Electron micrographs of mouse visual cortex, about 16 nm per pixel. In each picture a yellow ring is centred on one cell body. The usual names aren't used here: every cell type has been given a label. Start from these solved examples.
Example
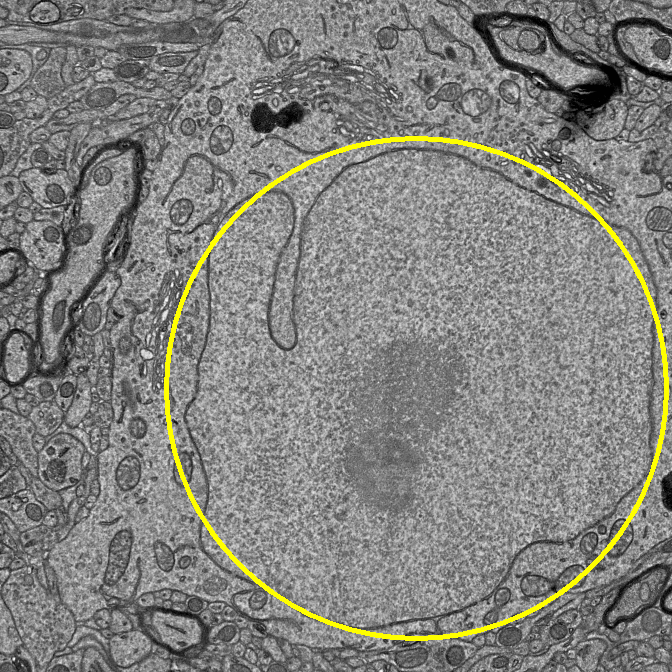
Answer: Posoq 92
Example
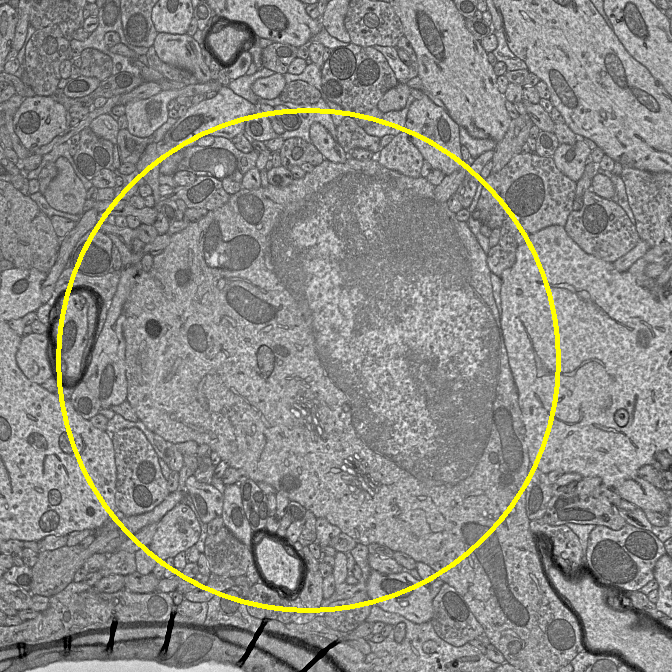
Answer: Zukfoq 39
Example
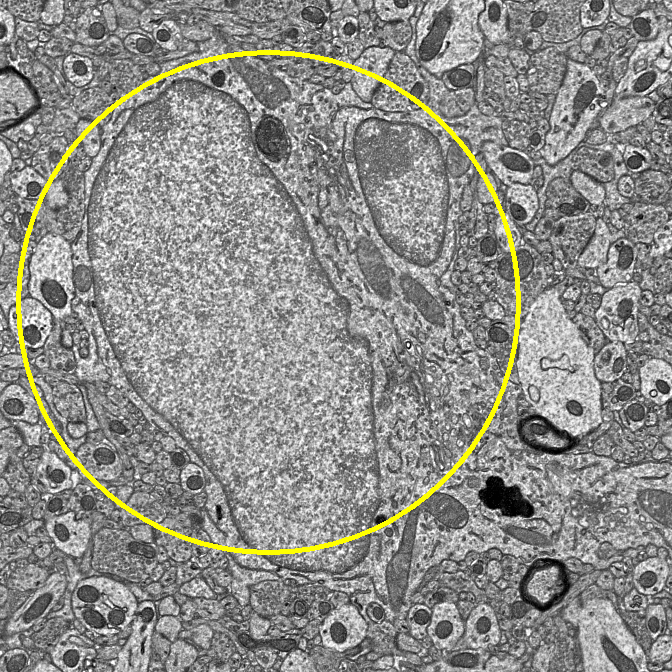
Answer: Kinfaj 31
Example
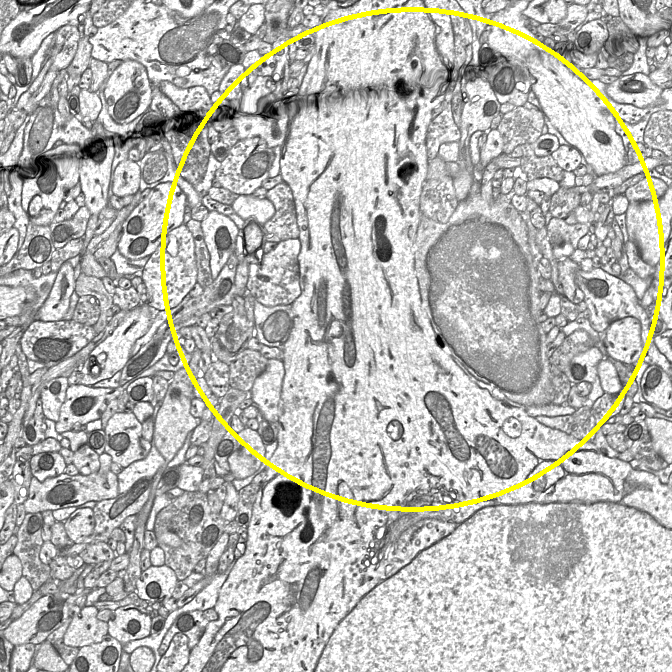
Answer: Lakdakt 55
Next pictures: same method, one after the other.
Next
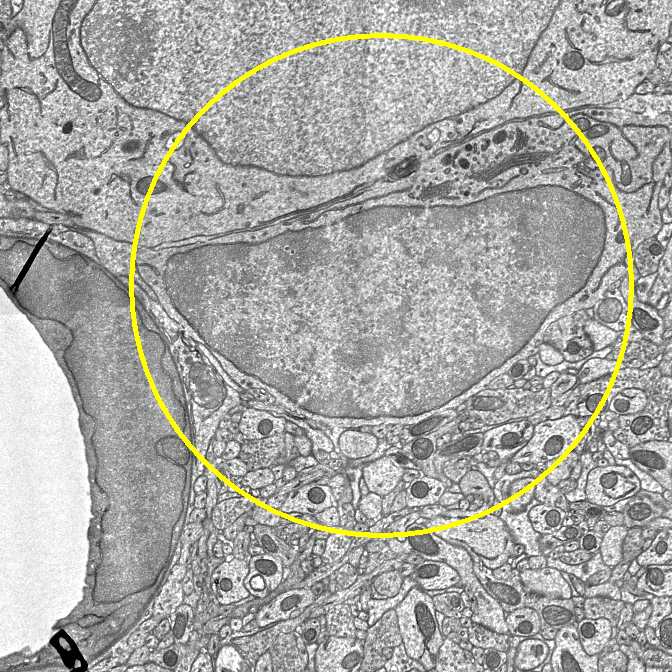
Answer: Lakdakt 55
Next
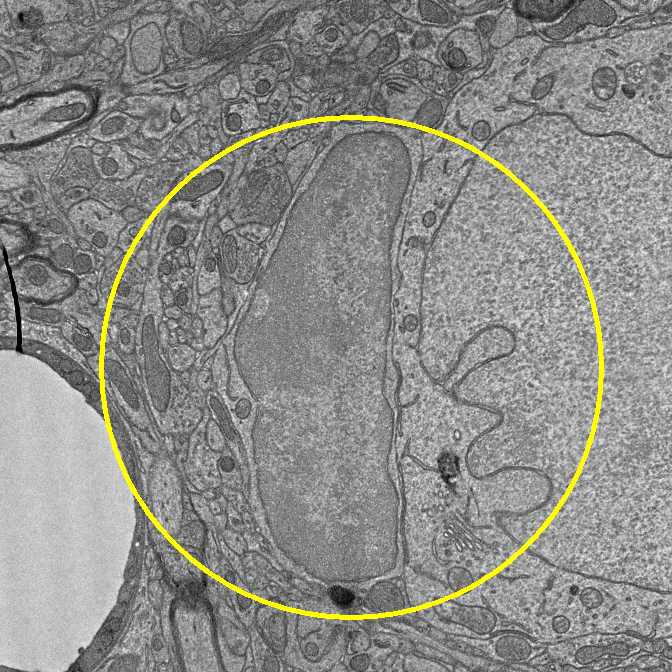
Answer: Lakdakt 55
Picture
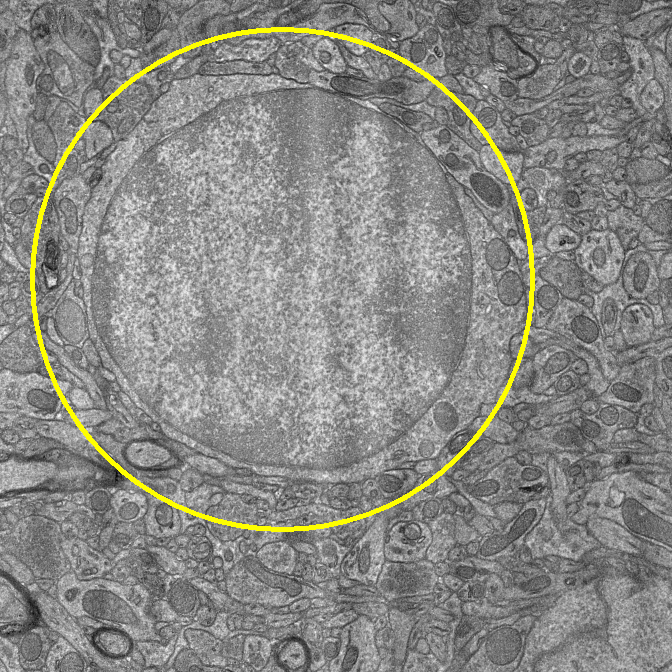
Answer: Zukfoq 39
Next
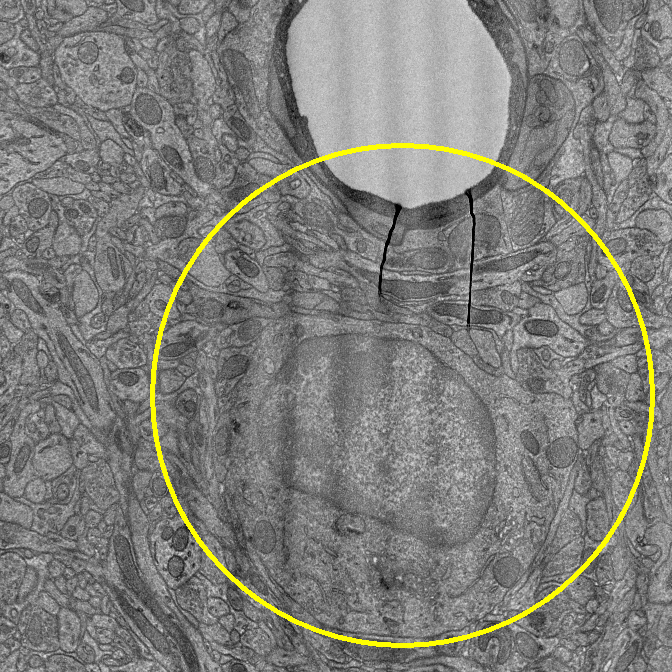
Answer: Zukfoq 39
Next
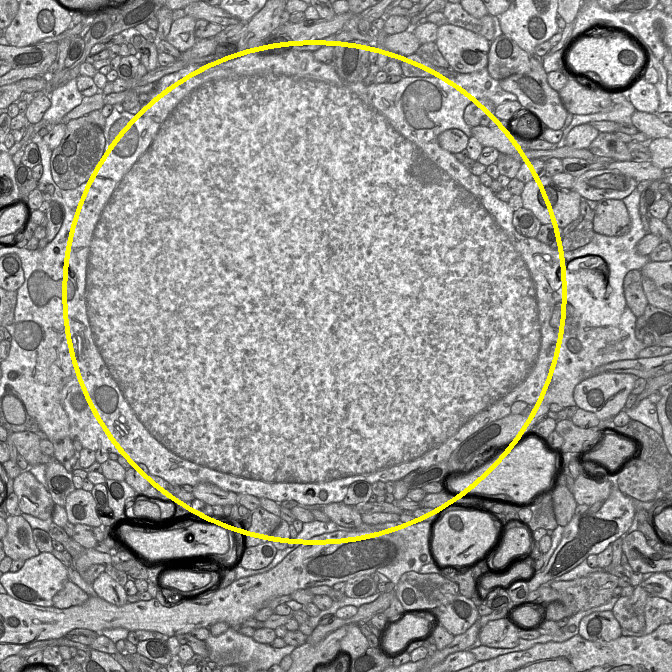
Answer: Kinfaj 31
